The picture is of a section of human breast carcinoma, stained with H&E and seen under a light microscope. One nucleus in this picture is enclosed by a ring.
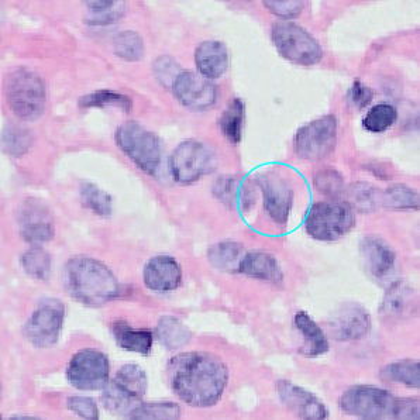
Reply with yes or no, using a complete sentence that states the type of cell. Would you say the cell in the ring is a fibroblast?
No, it is a carcinoma cell that the cell in the ring is, rather than a fibroblast.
